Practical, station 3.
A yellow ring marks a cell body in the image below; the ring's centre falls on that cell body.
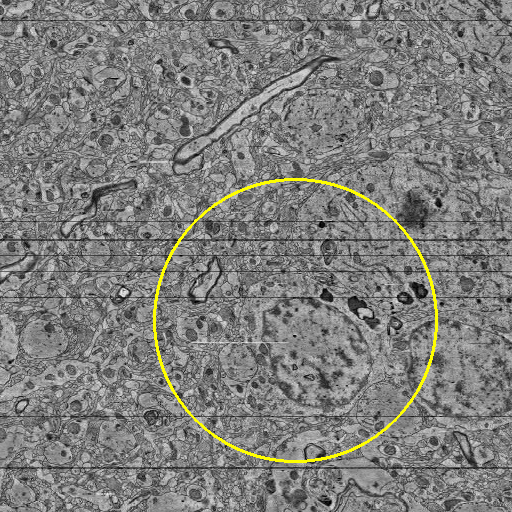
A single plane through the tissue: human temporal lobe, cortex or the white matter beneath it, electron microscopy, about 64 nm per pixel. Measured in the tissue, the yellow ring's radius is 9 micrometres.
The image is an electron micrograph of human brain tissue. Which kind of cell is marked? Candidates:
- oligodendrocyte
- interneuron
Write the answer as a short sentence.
The marked cell body is that of an interneuron.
